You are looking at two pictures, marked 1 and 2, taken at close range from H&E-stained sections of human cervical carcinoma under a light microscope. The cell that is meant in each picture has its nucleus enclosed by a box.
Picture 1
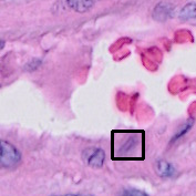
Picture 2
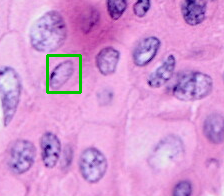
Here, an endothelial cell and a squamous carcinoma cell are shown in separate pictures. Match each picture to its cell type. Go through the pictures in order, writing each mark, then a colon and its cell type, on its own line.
1: endothelial cell
2: squamous carcinoma cell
